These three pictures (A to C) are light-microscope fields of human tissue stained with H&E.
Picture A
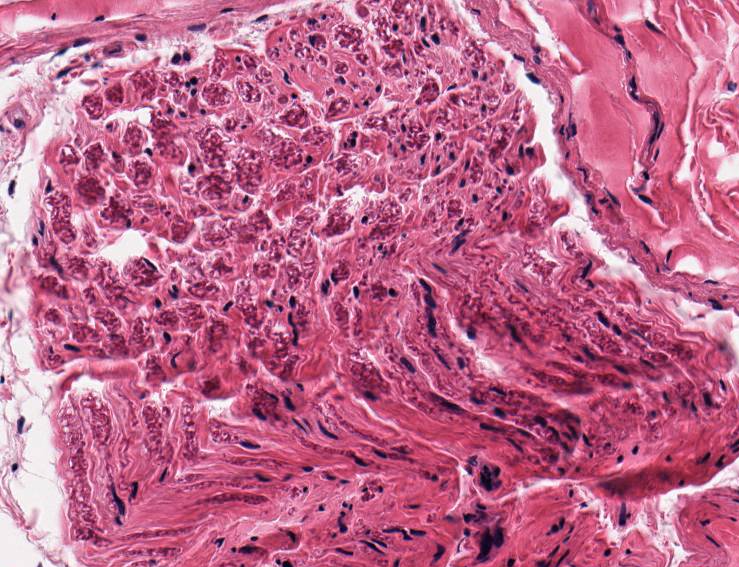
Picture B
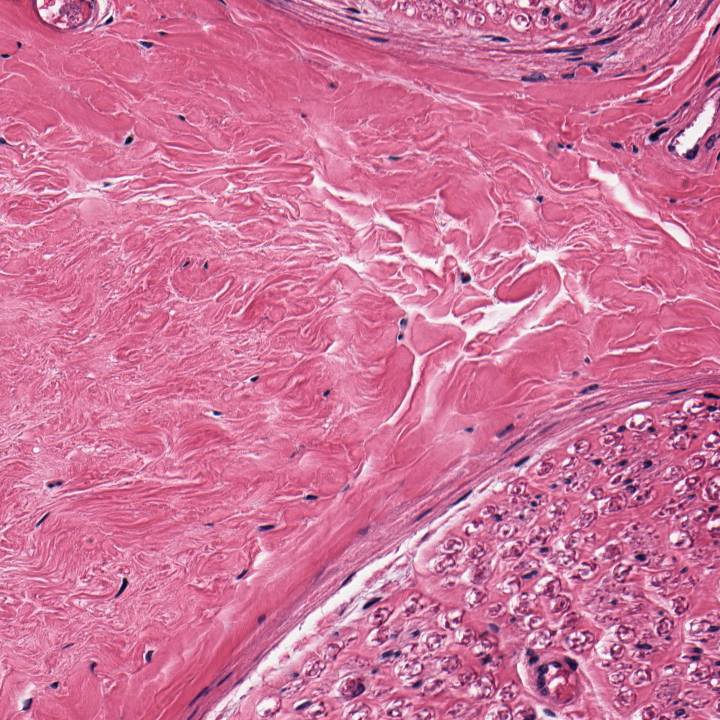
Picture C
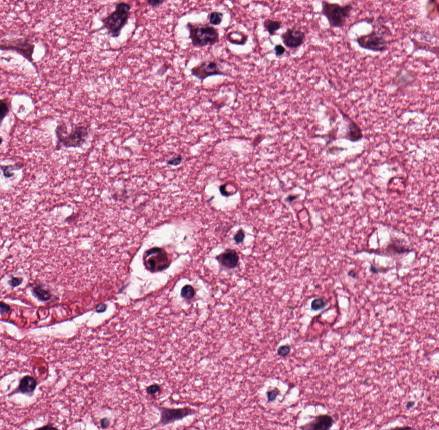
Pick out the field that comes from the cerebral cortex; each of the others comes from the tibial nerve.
C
